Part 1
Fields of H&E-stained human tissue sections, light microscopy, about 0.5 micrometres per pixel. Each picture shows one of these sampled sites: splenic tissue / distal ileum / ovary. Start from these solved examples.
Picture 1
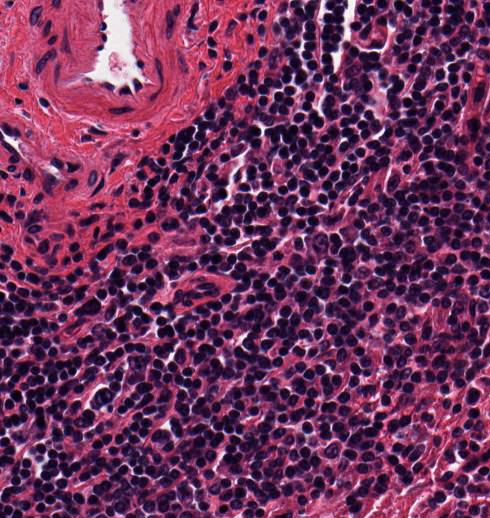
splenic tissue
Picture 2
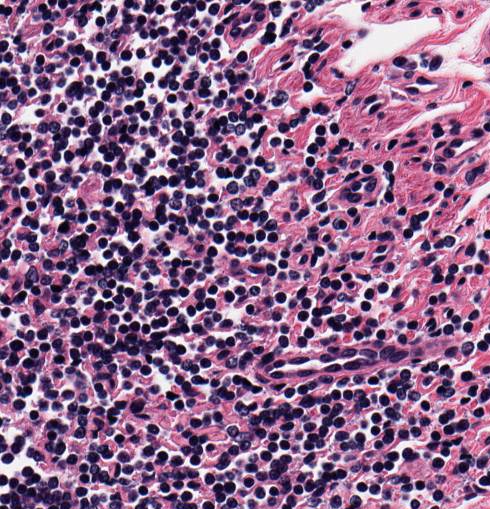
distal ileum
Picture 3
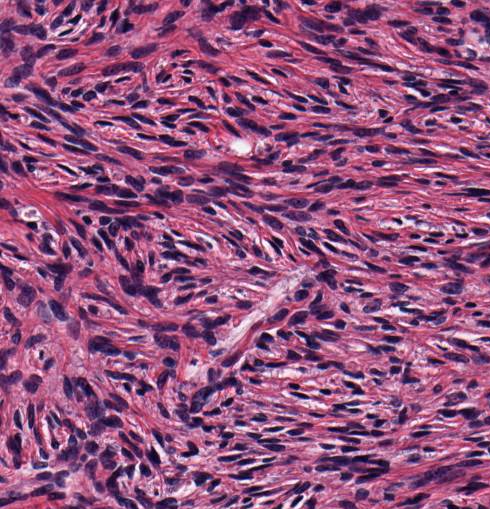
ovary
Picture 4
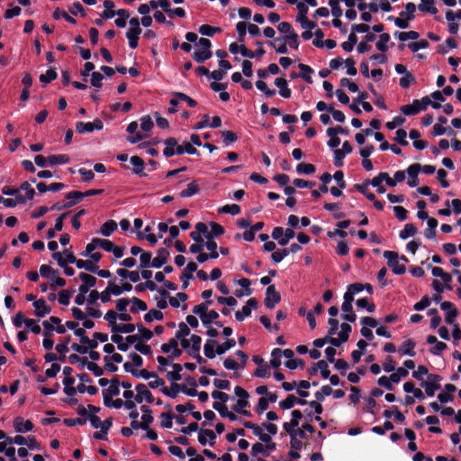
distal ileum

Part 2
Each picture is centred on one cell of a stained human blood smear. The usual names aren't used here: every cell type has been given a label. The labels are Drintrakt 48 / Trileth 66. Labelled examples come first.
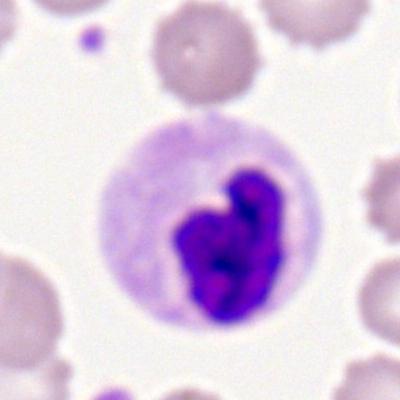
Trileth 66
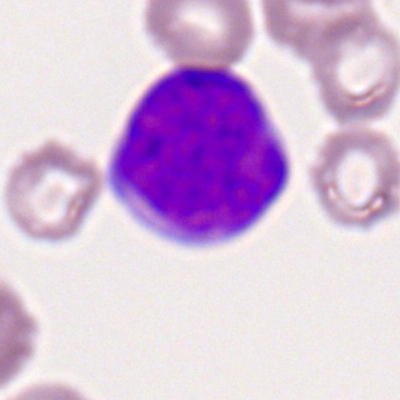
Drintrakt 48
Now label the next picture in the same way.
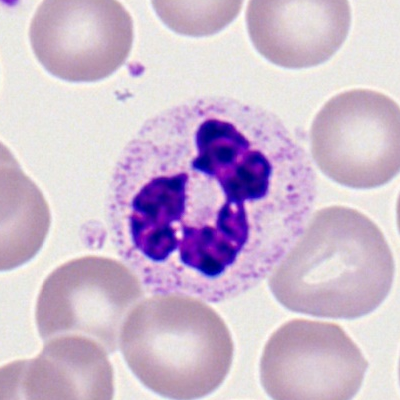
Trileth 66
